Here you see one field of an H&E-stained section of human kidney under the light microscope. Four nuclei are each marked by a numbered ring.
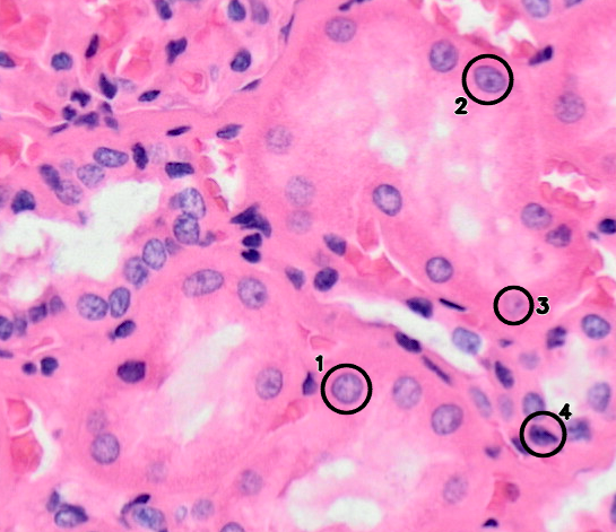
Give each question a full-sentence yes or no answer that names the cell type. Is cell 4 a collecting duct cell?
Yes, the cell that is numbered 4 is a collecting duct cell.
